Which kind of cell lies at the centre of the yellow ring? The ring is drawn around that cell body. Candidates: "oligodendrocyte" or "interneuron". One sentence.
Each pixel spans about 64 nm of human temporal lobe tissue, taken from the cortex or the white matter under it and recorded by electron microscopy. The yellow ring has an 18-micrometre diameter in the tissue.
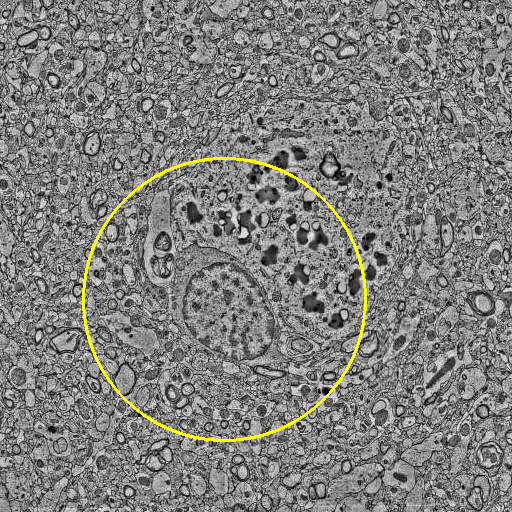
Lying at the centre of the ring is an oligodendrocyte.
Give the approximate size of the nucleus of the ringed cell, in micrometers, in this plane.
Approximately 7 by 5 micrometers in this plane.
